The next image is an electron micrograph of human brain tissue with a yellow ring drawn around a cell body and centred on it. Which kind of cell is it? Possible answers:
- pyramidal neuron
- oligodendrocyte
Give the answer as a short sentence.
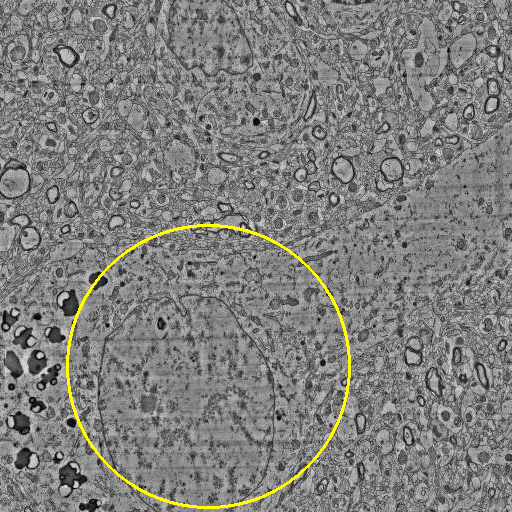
In the ring's centre is a pyramidal neuron.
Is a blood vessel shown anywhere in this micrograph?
No, there is none.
